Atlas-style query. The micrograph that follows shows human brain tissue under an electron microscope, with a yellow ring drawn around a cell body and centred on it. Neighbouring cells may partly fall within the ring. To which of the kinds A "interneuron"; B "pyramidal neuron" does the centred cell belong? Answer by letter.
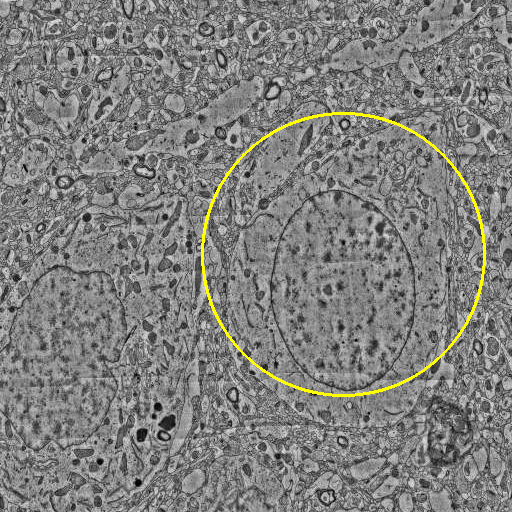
B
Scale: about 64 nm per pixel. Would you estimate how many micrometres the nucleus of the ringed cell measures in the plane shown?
In this plane the nucleus measures roughly 13 by 9 micrometers.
